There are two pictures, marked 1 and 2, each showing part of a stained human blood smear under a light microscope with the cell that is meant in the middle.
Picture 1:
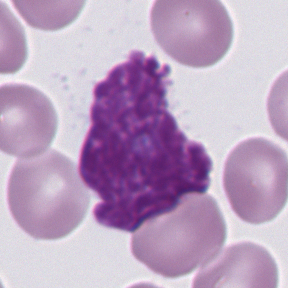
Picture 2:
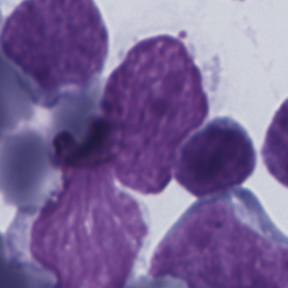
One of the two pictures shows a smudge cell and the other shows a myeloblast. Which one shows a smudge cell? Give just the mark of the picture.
1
